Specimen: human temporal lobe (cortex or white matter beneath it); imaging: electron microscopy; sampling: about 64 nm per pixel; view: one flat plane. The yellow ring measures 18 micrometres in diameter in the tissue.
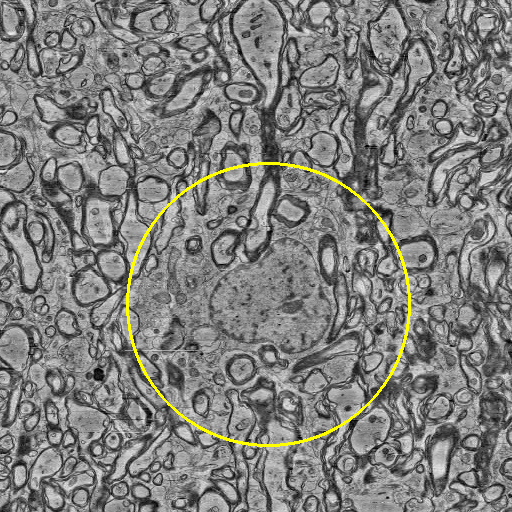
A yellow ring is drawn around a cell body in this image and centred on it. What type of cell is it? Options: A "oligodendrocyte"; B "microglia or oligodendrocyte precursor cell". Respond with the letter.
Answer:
B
